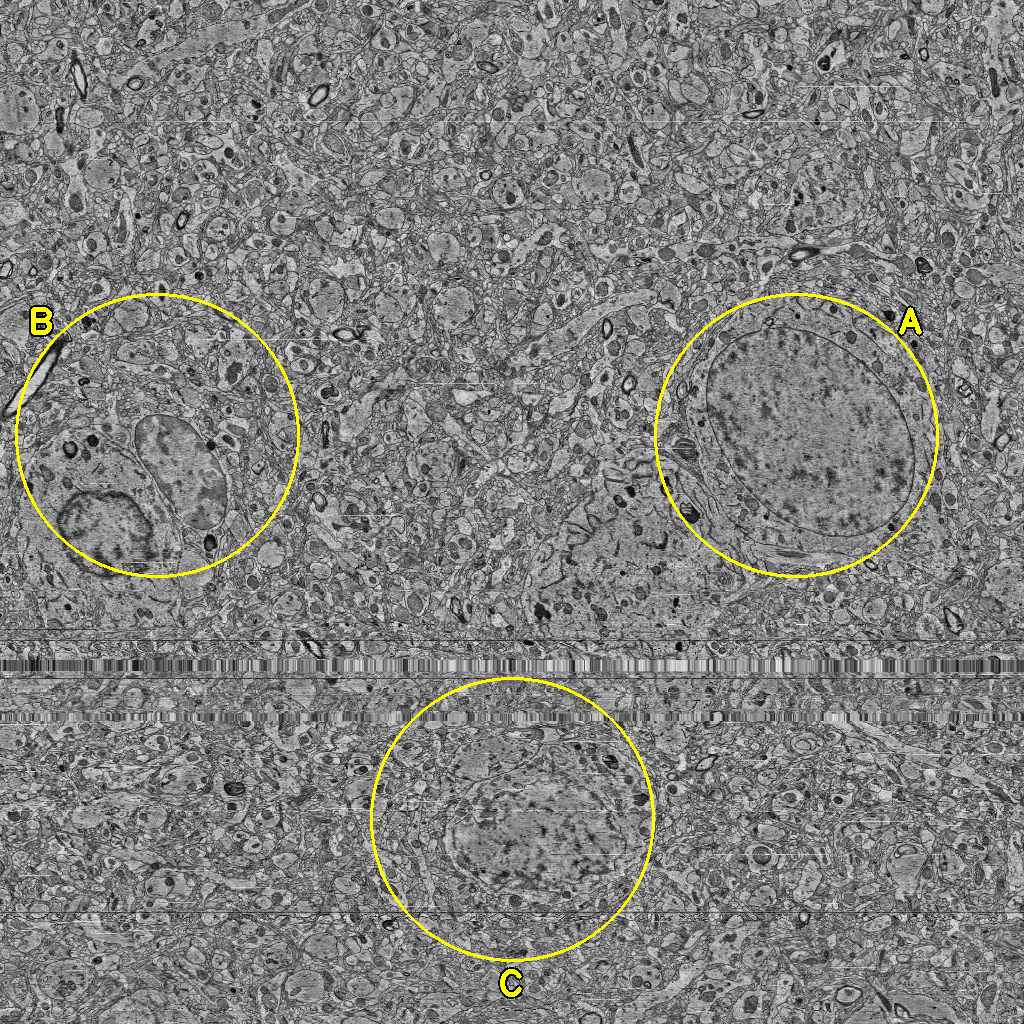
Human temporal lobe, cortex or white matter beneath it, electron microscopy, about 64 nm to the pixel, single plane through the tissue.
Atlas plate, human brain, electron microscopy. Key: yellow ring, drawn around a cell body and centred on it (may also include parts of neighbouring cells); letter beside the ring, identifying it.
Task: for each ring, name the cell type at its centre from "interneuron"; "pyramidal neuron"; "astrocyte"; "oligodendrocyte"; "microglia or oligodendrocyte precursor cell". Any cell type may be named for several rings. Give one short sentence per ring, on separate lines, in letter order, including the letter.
Ring A is centred over a pyramidal neuron.
Ring B is centred over a microglial cell or oligodendrocyte precursor cell.
Ring C is centred over an interneuron.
